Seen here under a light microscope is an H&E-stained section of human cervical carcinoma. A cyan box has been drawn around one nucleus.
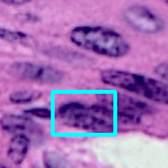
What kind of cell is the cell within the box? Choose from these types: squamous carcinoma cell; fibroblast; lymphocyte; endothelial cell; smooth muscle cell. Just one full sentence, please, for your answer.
Considered by cell type, the cell within the box is a squamous carcinoma cell.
